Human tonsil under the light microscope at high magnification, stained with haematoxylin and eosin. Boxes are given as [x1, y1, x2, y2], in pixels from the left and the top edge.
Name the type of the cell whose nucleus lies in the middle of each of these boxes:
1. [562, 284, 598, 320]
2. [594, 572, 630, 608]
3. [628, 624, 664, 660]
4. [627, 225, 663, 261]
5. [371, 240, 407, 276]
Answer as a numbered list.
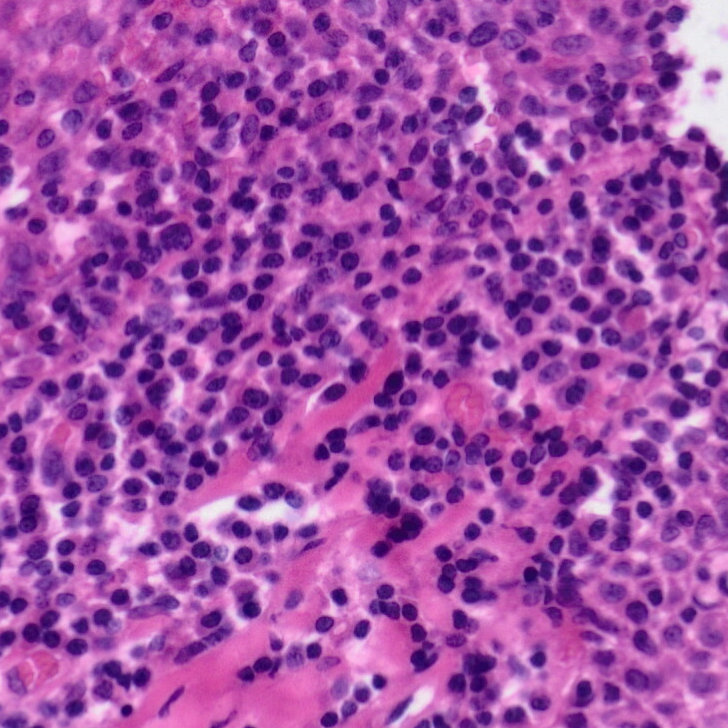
1. plasma cell
2. squamous epithelial cell
3. squamous epithelial cell
4. plasma cell
5. plasma cell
